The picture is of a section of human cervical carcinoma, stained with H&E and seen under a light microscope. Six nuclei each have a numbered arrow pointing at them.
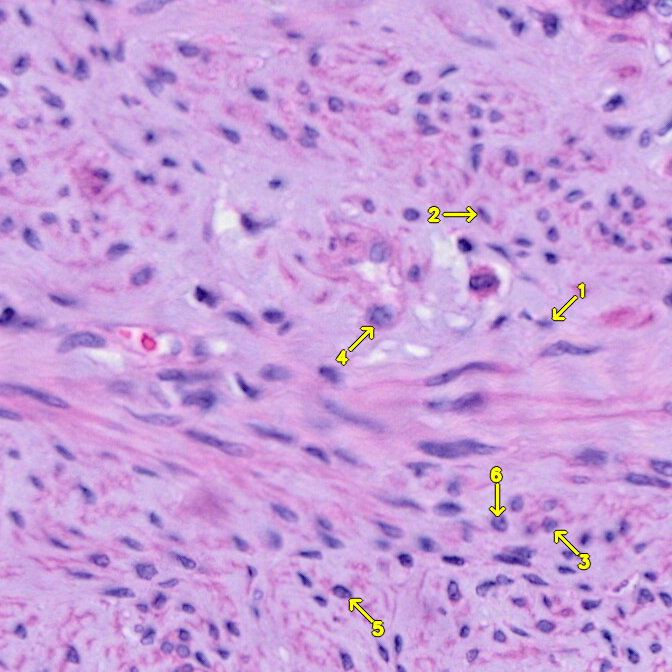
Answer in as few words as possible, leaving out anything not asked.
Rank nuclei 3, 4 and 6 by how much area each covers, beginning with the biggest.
4, 6, 3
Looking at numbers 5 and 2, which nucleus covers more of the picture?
5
